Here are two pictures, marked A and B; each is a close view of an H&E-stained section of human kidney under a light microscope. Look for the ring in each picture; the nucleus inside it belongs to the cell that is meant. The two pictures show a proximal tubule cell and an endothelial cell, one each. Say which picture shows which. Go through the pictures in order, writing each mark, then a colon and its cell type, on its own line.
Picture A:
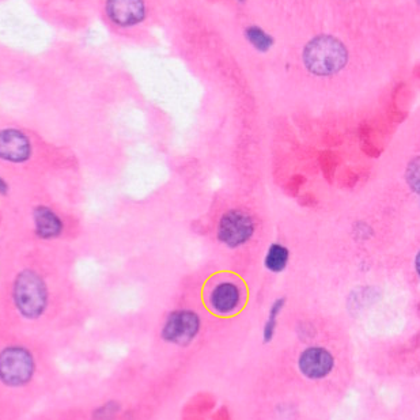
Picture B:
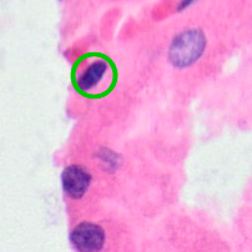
A: proximal tubule cell
B: endothelial cell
